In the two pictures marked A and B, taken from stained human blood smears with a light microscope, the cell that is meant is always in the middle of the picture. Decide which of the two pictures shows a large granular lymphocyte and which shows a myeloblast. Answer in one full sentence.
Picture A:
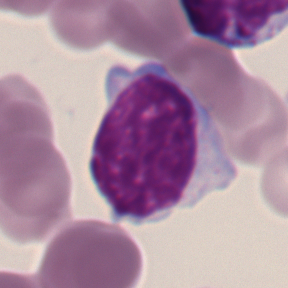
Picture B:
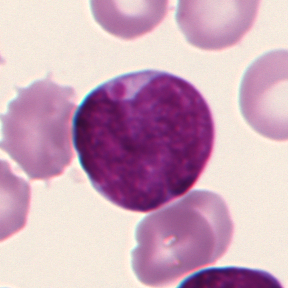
Picture A is of a large granular lymphocyte, and picture B is of a myeloblast.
